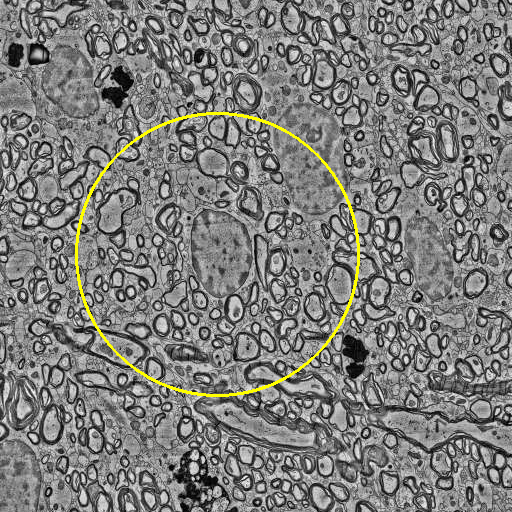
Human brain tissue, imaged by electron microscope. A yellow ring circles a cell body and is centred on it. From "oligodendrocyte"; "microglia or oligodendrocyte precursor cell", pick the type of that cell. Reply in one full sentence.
The cell body at the centre of the yellow ring belongs to a microglial cell or oligodendrocyte precursor cell.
